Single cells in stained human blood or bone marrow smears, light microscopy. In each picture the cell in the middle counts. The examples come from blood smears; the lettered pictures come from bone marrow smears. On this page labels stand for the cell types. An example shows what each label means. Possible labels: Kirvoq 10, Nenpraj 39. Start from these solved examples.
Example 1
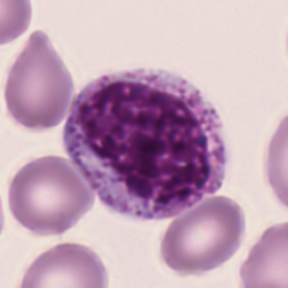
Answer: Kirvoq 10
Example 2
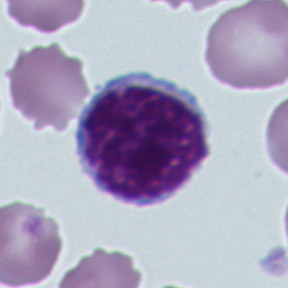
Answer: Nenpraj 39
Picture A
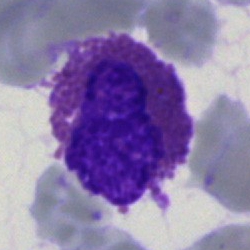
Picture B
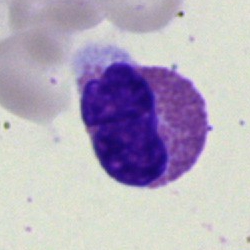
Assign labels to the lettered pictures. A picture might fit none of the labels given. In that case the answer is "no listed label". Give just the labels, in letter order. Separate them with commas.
no listed label, no listed label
